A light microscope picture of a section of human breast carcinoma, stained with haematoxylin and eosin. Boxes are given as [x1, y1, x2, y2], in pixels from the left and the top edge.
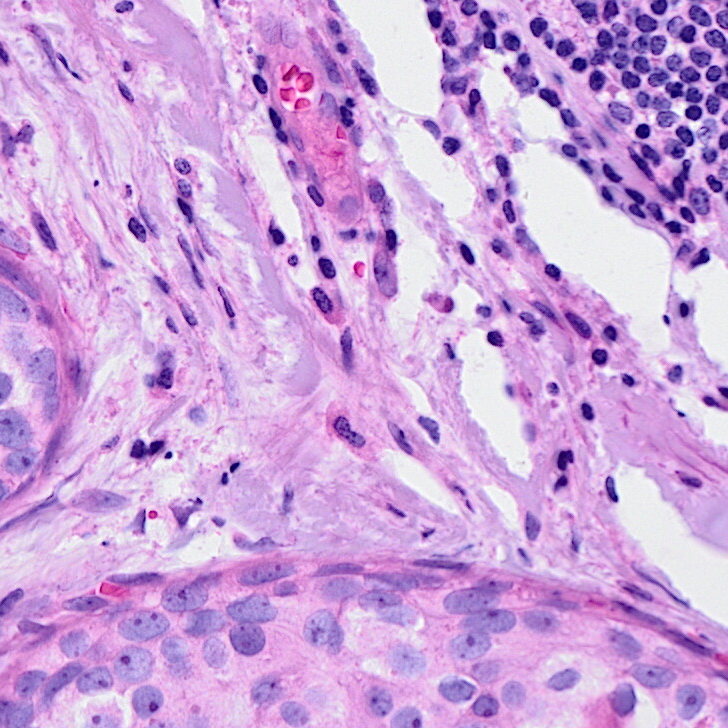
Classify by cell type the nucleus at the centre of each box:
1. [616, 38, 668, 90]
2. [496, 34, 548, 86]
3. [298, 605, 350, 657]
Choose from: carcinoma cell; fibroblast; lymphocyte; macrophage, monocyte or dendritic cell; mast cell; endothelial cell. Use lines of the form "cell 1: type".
cell 1: lymphocyte
cell 2: lymphocyte
cell 3: carcinoma cell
